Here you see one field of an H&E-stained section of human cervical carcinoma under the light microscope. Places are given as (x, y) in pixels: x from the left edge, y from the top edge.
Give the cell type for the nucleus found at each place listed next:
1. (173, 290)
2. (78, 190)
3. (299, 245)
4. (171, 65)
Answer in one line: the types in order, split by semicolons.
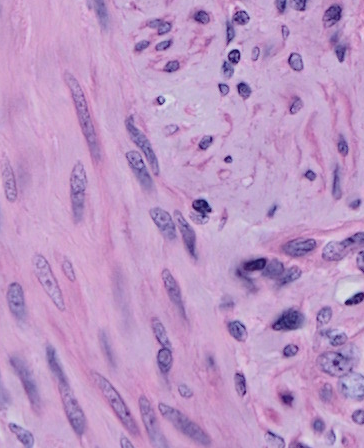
smooth muscle cell; smooth muscle cell; endothelial cell; smooth muscle cell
